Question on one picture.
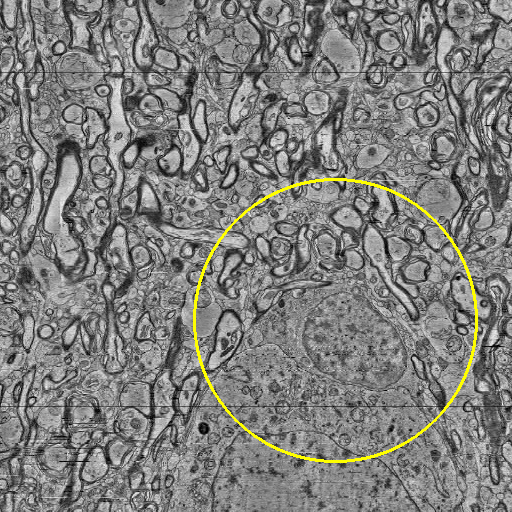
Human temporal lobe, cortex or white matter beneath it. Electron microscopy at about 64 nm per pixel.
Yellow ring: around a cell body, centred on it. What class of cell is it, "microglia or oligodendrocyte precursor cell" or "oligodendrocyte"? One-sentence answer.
This is an oligodendrocyte, the cell the ring is centred on.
